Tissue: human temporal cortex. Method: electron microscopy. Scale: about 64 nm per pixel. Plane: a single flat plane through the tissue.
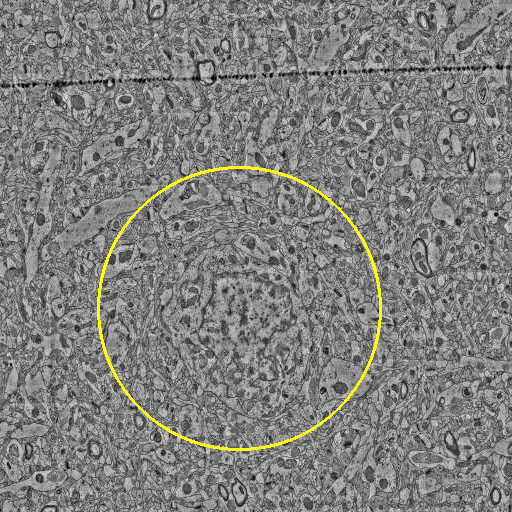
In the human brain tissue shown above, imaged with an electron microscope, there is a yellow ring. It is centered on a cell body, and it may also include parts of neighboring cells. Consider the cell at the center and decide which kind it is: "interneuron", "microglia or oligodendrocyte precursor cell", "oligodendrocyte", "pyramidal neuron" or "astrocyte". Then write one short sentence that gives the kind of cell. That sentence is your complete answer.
This centered cell body is that of an interneuron.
